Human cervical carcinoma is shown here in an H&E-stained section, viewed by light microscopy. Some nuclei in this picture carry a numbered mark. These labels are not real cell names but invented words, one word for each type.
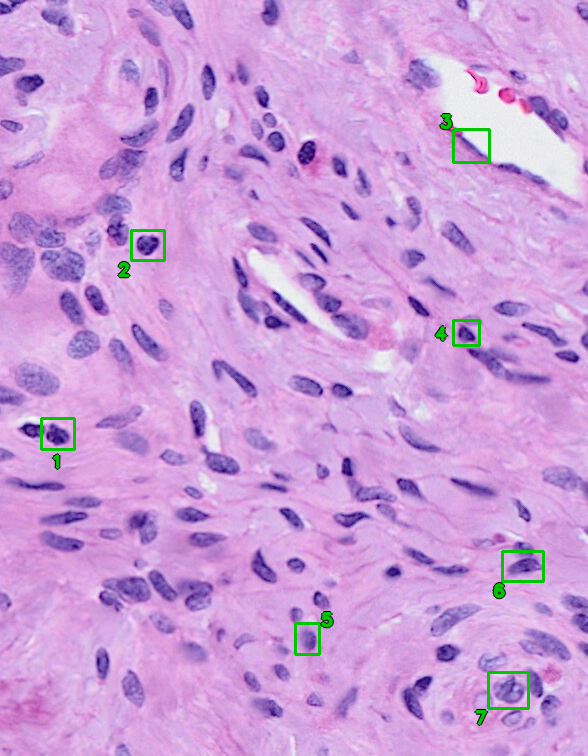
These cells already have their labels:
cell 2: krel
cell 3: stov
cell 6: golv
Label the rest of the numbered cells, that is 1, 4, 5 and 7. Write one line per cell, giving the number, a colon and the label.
1: krel
4: golv
5: golv
7: stov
